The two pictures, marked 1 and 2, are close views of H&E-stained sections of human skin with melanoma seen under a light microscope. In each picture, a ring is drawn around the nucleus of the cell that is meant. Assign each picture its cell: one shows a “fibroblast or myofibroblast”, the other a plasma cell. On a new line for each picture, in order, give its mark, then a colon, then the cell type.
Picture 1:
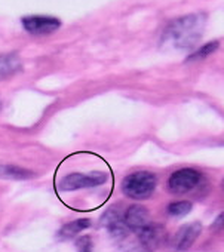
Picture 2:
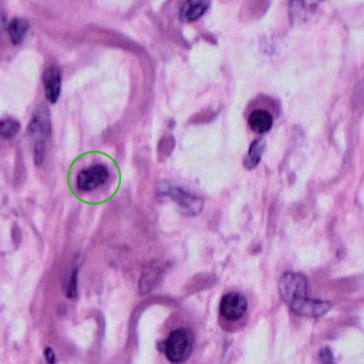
1: fibroblast or myofibroblast
2: plasma cell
